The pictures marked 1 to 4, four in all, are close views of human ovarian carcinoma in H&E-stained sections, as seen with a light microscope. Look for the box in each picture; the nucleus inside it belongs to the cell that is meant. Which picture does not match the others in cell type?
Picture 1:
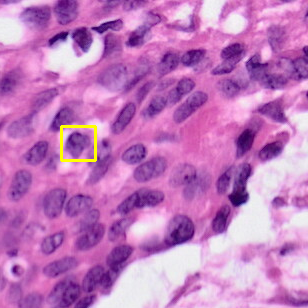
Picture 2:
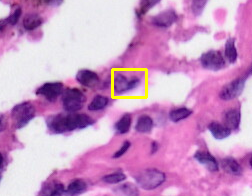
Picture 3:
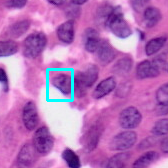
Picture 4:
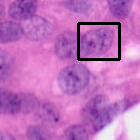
4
